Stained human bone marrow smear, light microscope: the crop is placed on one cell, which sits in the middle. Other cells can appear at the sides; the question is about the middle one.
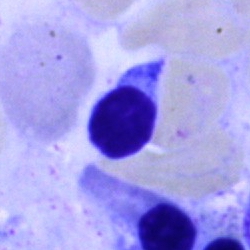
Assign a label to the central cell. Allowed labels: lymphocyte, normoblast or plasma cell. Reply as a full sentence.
The cell nearest the centre of this crop is a lymphocyte.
